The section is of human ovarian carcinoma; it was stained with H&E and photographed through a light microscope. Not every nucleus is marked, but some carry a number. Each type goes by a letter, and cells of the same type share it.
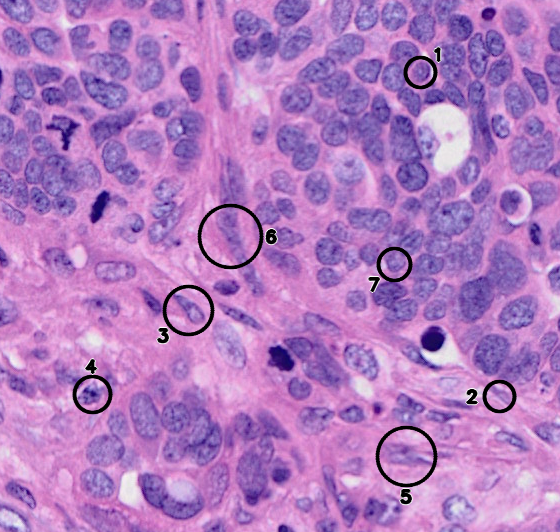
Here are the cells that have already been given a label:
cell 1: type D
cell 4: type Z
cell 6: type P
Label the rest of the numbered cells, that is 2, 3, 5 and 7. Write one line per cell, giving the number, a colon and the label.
2: type P
3: type P
5: type P
7: type D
